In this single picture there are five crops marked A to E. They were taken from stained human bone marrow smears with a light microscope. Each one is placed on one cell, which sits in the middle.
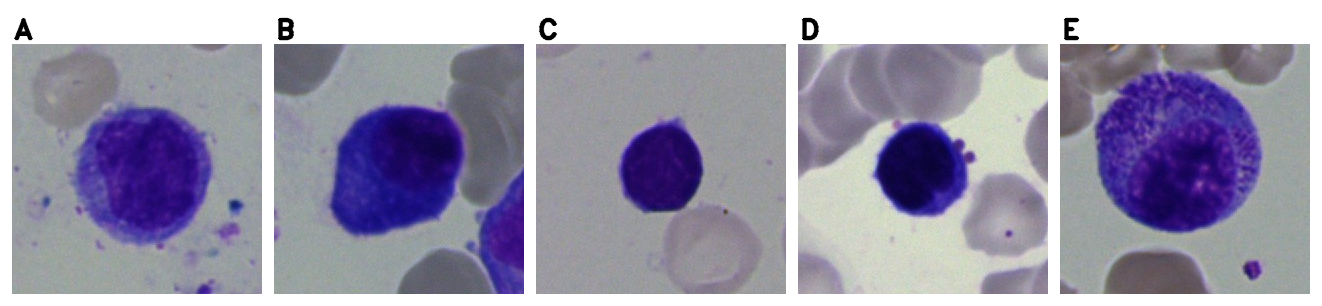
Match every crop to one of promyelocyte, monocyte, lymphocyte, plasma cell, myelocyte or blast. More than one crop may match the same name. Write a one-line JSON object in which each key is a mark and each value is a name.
{"A": "monocyte", "B": "plasma cell", "C": "lymphocyte", "D": "lymphocyte", "E": "promyelocyte"}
